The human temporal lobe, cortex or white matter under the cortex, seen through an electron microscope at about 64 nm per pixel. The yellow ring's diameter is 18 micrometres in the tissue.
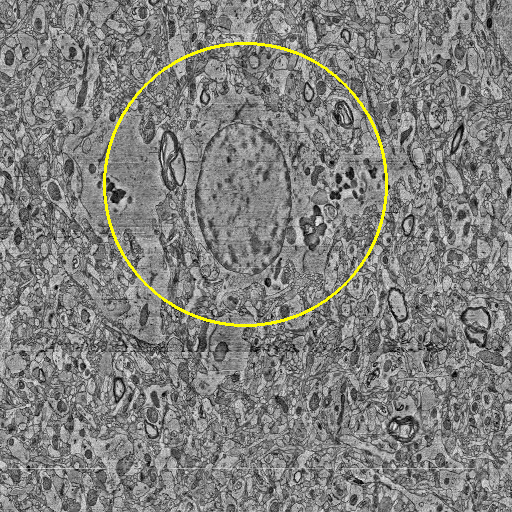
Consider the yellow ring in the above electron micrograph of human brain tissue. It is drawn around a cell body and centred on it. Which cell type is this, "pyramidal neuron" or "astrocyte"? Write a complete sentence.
The cell in question is an astrocyte.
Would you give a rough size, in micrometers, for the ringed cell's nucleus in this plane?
Roughly 10 micrometres long and 6 micrometres wide; in this plane the nucleus is clearly longer than it is wide.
